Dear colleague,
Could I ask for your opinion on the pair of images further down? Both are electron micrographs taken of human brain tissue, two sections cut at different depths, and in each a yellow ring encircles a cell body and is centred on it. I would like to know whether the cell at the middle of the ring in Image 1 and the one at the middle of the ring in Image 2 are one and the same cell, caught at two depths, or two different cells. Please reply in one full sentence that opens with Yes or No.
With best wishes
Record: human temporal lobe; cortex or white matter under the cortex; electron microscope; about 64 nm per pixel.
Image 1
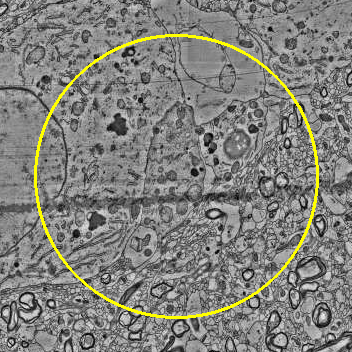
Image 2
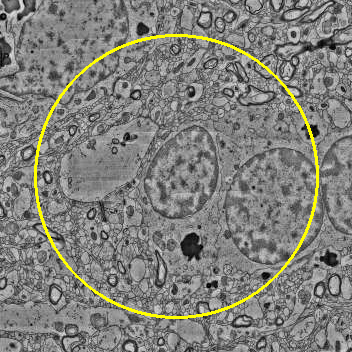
No, in this micrograph the two rings mark two different cells.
